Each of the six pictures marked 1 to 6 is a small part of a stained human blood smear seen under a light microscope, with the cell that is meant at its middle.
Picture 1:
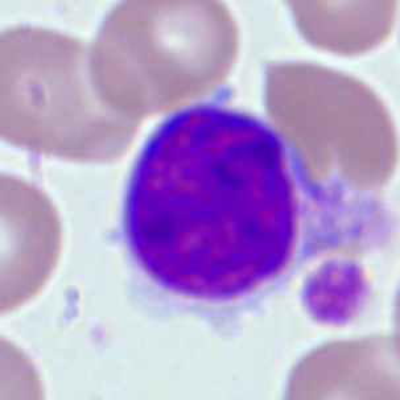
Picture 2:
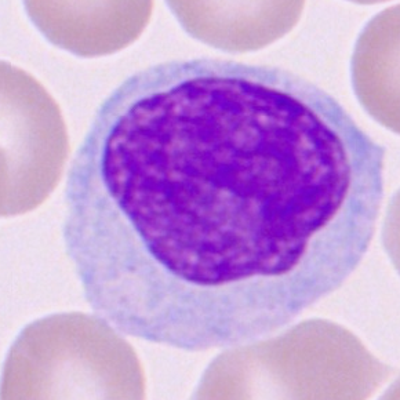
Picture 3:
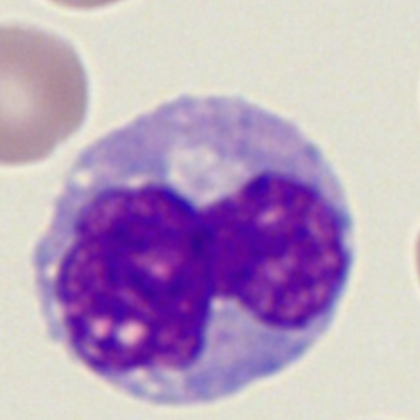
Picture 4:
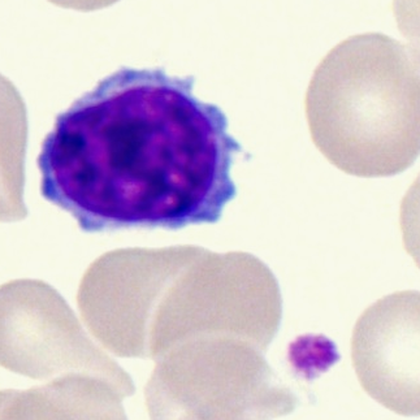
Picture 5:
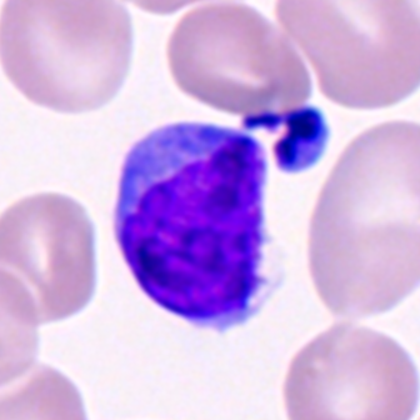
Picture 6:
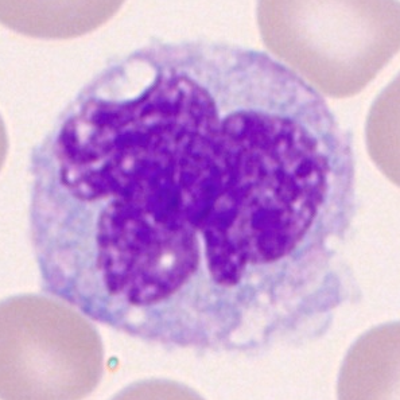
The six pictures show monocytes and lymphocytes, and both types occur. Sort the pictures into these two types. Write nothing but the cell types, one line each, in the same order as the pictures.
lymphocyte
monocyte
monocyte
lymphocyte
lymphocyte
monocyte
